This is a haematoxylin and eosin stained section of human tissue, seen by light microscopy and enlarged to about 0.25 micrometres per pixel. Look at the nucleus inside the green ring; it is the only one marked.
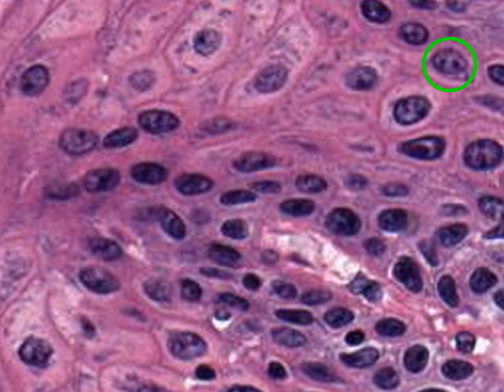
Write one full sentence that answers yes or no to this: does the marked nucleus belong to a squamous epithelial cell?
Yes, the marked nucleus belongs to a squamous epithelial cell in this image.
